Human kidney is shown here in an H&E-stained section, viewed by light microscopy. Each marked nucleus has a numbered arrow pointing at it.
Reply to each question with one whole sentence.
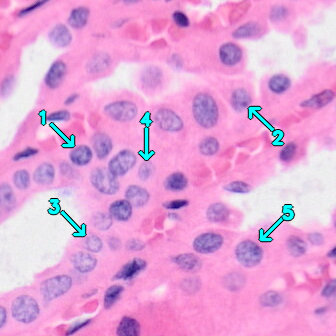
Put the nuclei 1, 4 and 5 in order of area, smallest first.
From smallest to largest, the order is 4, 1, 5.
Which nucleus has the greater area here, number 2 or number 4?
At about 1.5 times the area of nucleus 4, nucleus 2 is the larger of the two.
